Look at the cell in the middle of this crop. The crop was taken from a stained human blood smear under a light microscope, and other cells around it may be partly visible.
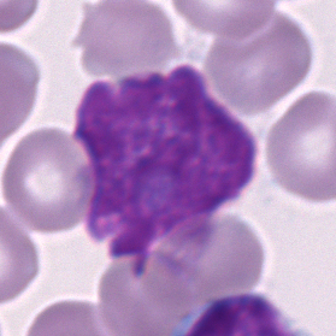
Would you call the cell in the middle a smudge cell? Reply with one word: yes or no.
yes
